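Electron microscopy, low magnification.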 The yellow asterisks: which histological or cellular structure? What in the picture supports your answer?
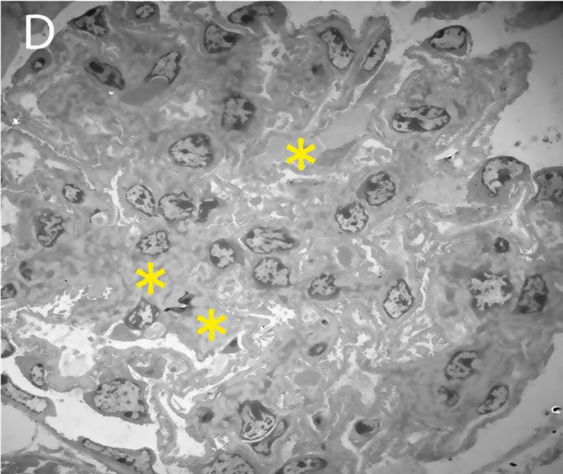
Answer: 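Extracellular matrix. The asterisks lie on grey, amorphous material between nuclei. This material fills spaces where open capillary lumens would be.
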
